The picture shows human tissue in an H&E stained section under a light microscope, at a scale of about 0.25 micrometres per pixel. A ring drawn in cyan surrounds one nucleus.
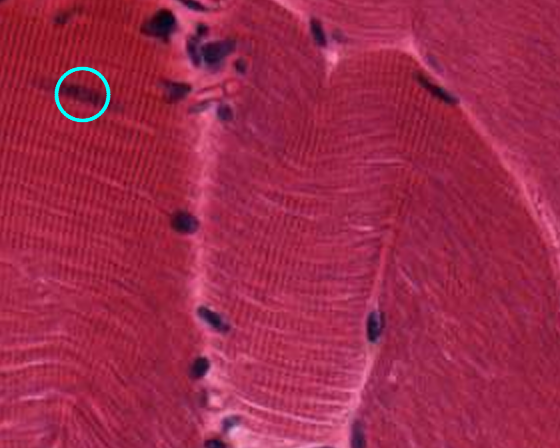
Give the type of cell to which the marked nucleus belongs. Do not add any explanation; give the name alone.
skeletal muscle fibre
